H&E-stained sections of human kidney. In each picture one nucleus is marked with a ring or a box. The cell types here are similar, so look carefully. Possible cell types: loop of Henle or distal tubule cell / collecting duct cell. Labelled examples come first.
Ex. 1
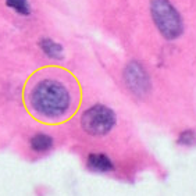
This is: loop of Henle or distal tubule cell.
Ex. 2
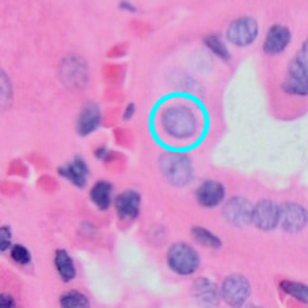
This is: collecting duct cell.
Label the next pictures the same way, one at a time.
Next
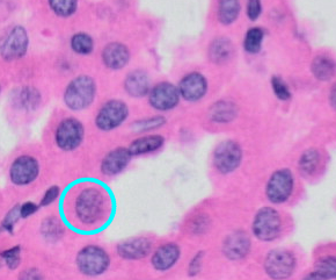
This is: loop of Henle or distal tubule cell.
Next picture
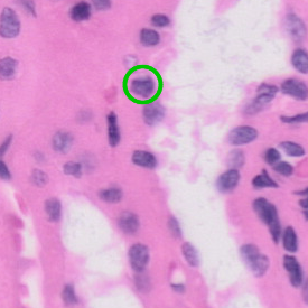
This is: loop of Henle or distal tubule cell.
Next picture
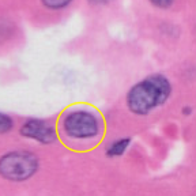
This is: loop of Henle or distal tubule cell.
